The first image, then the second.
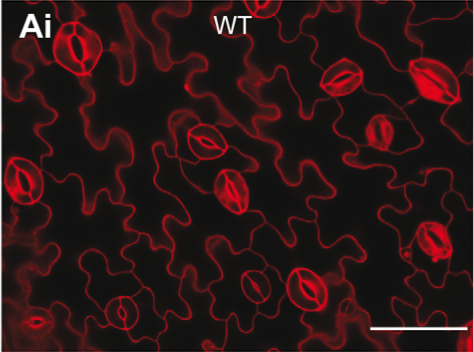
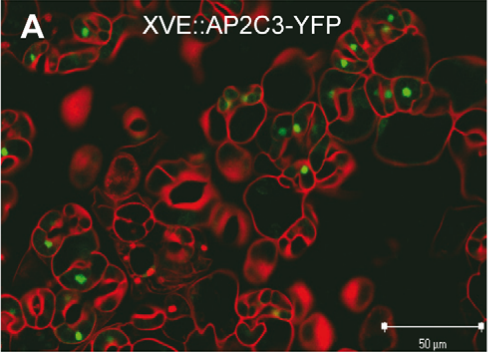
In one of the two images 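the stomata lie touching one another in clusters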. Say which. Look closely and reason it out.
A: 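First image: stomata are separated from one another by lobed pavement cells. Second image: many stomata lie directly adjacent in groups. On this evidence: the second image.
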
